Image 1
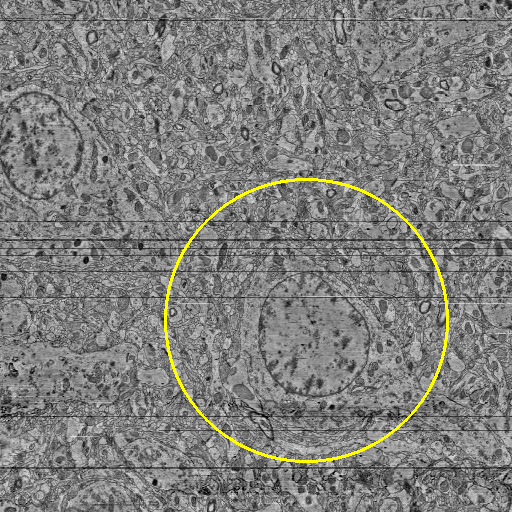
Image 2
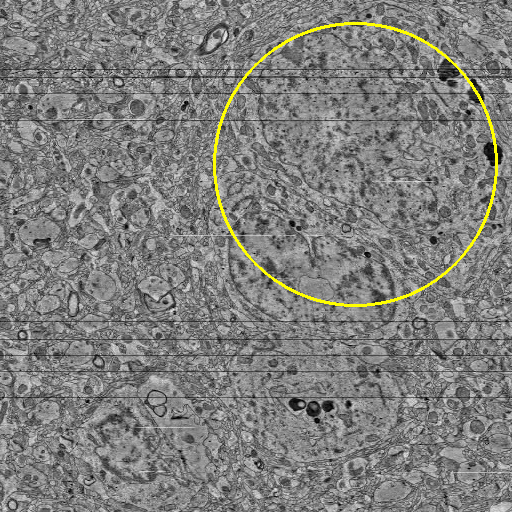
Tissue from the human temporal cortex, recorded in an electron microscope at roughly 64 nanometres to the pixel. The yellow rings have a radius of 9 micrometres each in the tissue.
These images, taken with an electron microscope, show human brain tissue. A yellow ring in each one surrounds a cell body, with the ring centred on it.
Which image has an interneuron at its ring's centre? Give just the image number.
2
